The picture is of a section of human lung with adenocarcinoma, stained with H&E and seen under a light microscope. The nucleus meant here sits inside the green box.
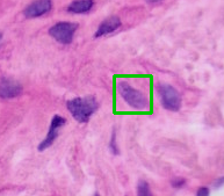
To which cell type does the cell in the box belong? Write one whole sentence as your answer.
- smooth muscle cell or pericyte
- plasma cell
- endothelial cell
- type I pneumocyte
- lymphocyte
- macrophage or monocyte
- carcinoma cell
This is a smooth muscle cell or pericyte.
